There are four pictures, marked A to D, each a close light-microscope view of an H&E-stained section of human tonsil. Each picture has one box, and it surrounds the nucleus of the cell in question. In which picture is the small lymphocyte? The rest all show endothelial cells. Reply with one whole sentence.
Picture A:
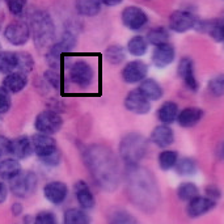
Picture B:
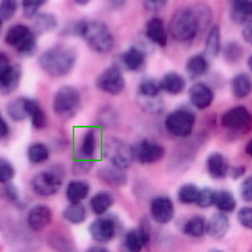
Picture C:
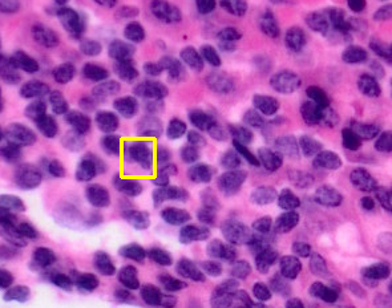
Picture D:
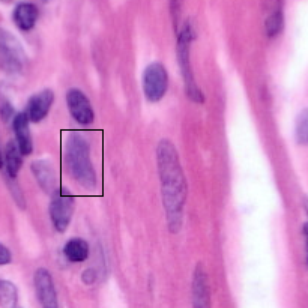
The cell in picture C is the small lymphocyte.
